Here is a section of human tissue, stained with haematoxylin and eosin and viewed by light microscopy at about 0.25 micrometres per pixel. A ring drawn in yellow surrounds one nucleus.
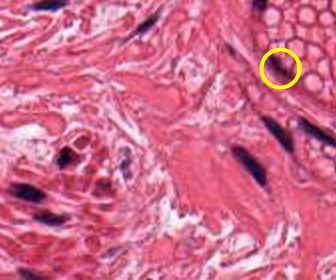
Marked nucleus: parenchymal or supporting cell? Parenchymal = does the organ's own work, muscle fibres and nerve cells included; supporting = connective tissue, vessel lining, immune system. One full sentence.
The marked nucleus is designated as the nucleus of a supporting cell.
